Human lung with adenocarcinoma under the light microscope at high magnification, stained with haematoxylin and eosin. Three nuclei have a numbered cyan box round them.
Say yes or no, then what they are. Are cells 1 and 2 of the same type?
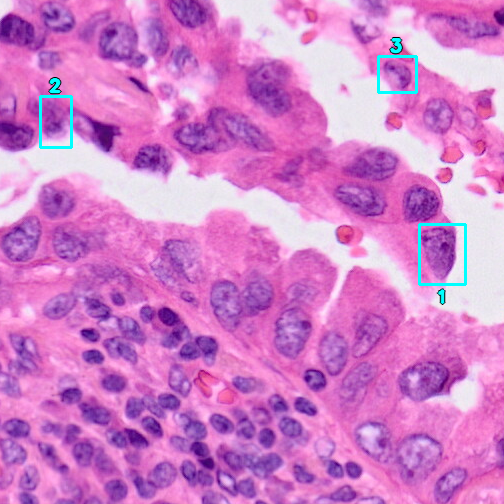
Yes, both are carcinoma cells.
